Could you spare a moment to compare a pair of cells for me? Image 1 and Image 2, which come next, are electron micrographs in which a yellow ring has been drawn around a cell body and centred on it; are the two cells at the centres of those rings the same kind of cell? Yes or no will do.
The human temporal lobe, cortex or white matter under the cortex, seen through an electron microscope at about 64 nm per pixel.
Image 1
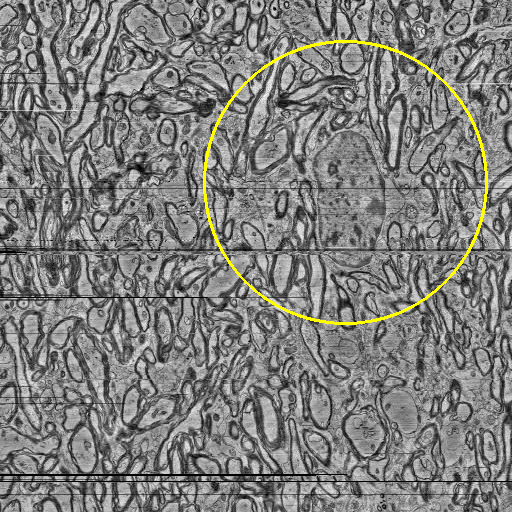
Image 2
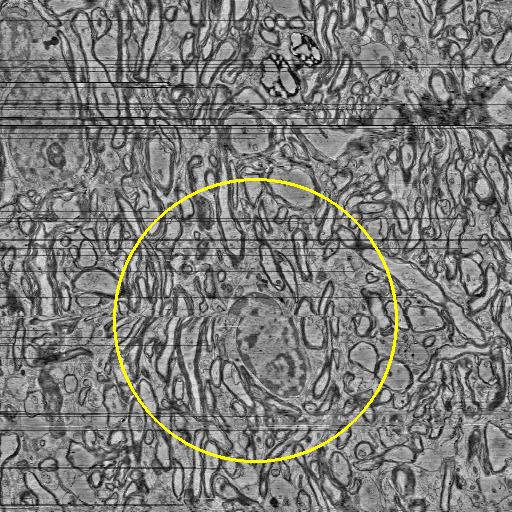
yes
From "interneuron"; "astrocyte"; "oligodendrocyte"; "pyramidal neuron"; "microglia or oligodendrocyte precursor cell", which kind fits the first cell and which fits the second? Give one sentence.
The cell in the first picture is a microglial cell or oligodendrocyte precursor cell, and so is the one in the second.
